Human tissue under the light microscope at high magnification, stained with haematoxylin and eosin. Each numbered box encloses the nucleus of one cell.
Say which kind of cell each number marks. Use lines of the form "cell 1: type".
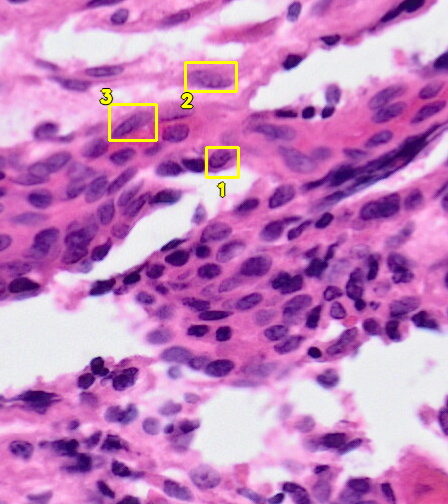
cell 1: carcinoma cell
cell 2: fibroblast
cell 3: endothelial cell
